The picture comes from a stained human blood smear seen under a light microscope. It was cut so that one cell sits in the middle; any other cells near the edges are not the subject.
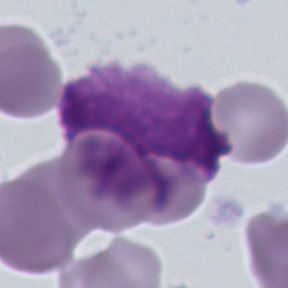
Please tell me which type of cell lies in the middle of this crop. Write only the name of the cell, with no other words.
smudge cell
